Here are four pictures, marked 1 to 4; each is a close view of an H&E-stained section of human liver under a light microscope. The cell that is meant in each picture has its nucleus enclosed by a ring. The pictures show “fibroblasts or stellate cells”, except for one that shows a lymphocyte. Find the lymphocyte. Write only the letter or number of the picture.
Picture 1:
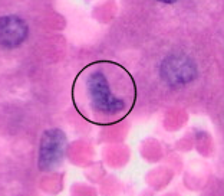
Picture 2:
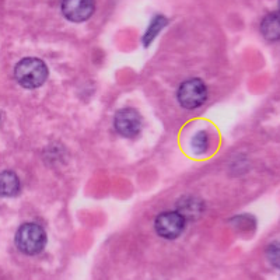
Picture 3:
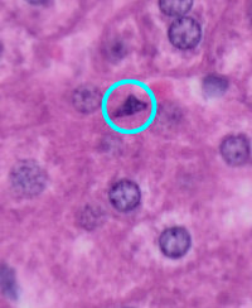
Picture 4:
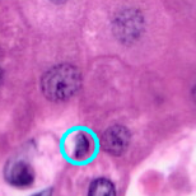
2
